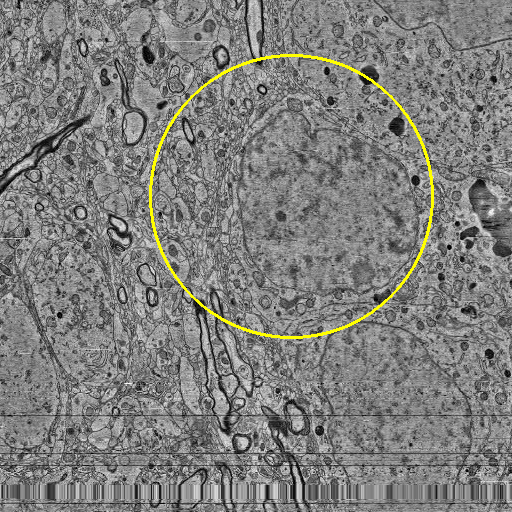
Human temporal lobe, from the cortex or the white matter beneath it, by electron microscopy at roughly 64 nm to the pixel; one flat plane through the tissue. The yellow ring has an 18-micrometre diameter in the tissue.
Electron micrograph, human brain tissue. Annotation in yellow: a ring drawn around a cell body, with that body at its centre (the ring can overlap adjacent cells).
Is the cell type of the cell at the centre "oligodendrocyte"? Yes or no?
No, it is of another type.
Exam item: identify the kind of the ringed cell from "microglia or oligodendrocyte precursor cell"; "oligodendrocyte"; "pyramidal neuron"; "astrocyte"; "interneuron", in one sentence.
Sitting at the ring centre is an interneuron.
